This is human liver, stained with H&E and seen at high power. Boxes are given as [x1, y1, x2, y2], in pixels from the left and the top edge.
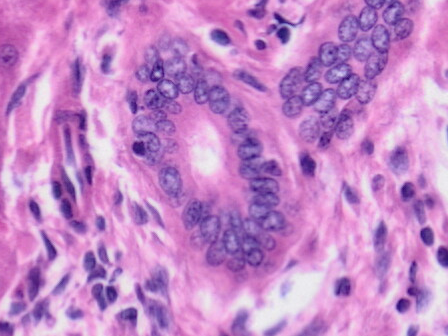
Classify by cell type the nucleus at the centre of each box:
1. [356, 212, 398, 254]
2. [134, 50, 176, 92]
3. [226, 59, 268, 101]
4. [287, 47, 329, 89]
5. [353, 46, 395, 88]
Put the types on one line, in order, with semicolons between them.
fibroblast or stellate cell; cholangiocyte; fibroblast or stellate cell; cholangiocyte; cholangiocyte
